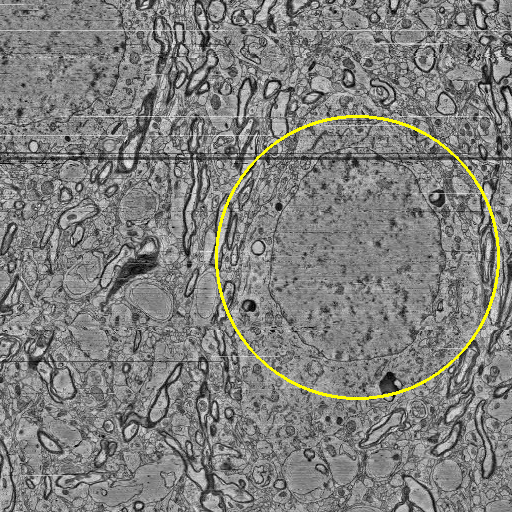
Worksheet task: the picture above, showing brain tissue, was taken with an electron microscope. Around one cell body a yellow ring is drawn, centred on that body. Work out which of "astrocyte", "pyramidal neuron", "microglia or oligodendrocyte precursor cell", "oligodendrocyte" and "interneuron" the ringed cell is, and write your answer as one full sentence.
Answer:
It is a pyramidal neuron whose cell body lies at the centre of the yellow ring.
